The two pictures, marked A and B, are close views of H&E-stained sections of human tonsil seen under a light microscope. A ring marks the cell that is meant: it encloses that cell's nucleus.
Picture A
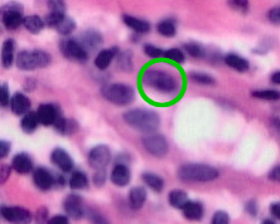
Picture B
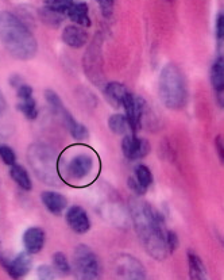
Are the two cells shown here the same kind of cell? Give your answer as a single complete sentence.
Yes, the two pictures both show endothelial cells.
